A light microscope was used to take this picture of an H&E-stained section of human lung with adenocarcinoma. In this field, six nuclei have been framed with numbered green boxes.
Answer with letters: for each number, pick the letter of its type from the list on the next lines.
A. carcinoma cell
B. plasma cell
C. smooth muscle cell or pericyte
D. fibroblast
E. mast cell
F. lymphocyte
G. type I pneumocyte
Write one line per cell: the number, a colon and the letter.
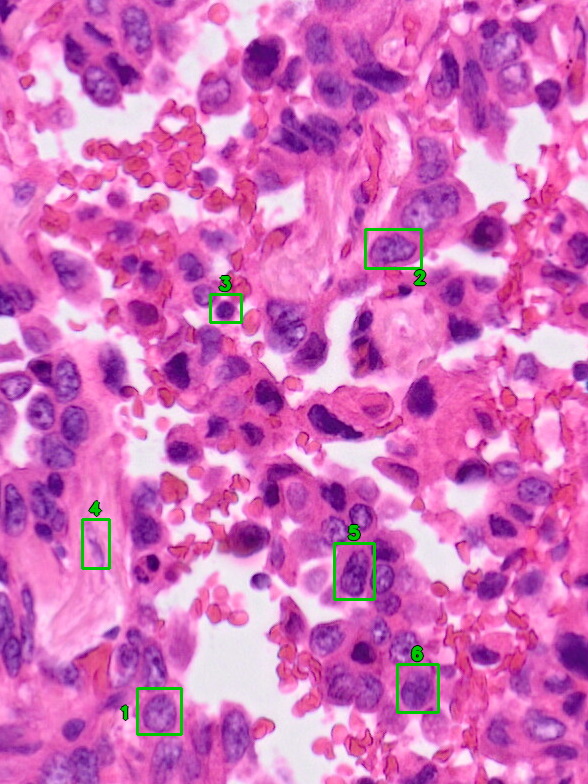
1: A
2: A
3: F
4: D
5: A
6: A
